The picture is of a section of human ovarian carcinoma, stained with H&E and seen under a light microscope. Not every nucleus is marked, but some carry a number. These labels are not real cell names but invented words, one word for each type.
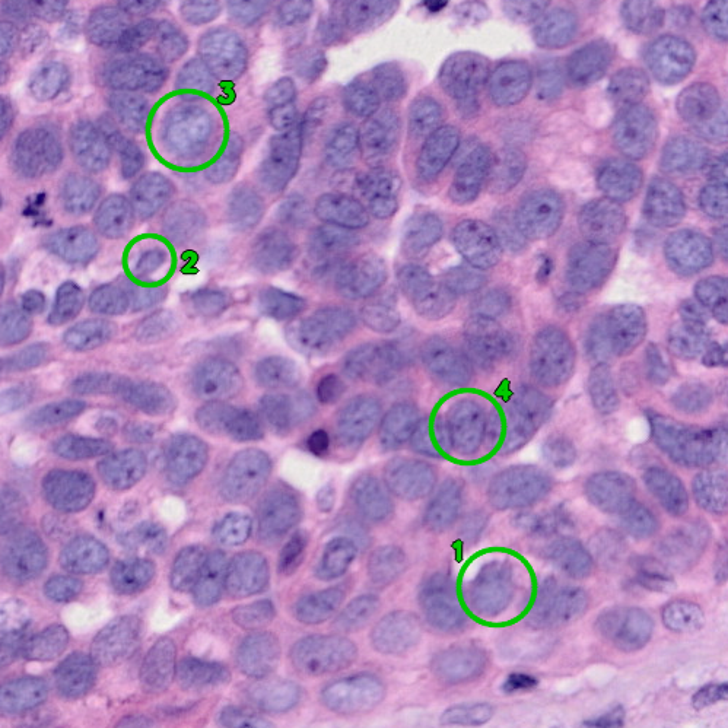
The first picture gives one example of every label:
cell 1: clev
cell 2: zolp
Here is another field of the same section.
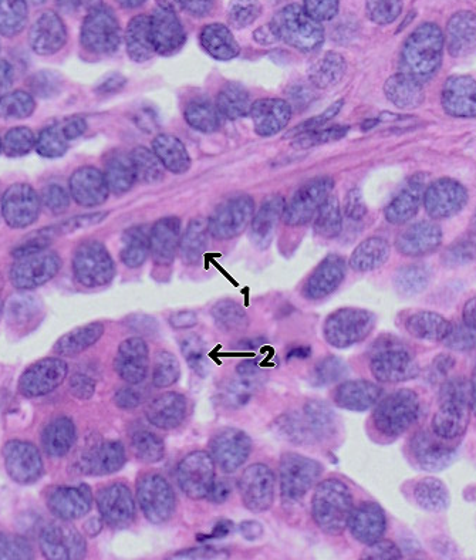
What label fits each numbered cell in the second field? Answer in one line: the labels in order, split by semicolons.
clev; zolp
